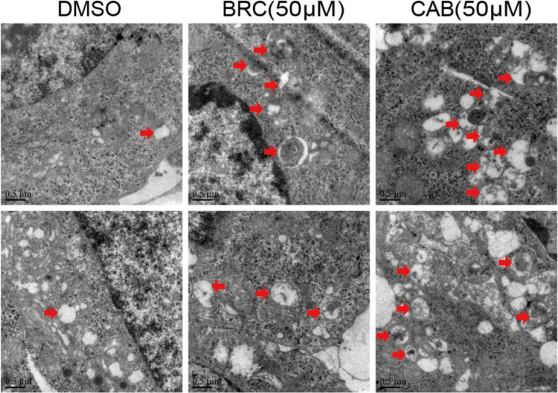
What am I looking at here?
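Red arrows point to rounded membrane-bound compartments in the cytoplasm, which are autophagic vacuoles. Some of these vacuoles look pale and empty, while others enclose dense or membranous material. The images differ in how many such vacuoles they show: some have one marked vacuole, and others have clusters of many pale vacuoles filling much of the field.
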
